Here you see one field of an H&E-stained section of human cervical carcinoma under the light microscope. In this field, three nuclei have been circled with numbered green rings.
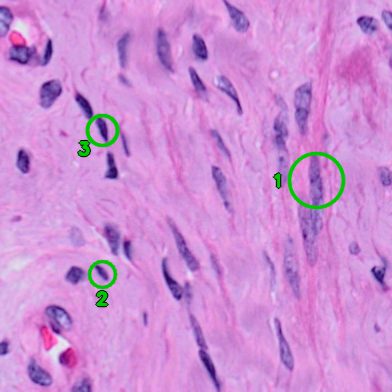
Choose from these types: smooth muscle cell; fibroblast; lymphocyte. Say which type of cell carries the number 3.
fibroblast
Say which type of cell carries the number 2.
fibroblast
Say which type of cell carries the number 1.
smooth muscle cell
